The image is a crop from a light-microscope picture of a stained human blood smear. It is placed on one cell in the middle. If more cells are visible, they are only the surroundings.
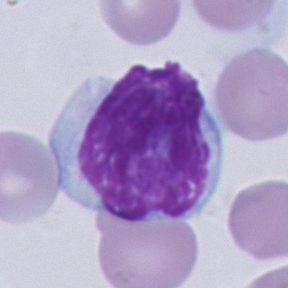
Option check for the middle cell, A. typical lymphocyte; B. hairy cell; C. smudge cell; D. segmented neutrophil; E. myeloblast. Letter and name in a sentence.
The cell placed in the middle is a myeloblast; option E is correct.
